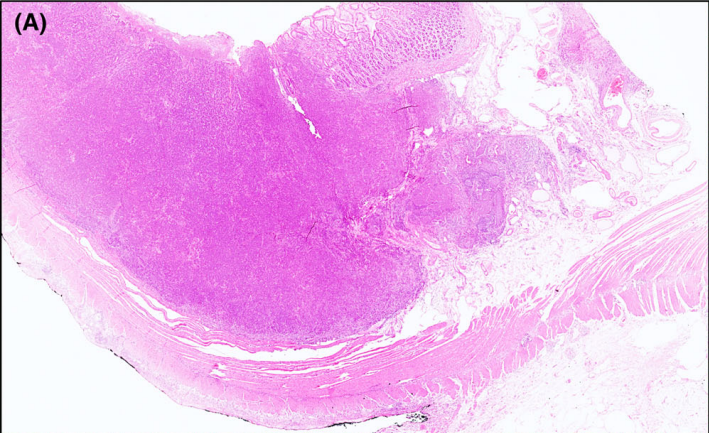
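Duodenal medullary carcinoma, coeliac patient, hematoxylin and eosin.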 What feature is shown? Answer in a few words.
Pushing‐type tumour border.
